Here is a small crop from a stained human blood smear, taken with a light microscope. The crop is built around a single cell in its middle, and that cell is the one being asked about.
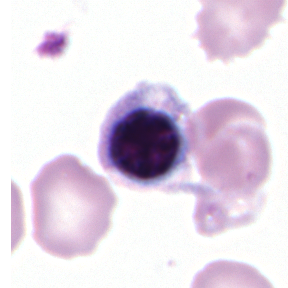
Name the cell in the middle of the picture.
normoblast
